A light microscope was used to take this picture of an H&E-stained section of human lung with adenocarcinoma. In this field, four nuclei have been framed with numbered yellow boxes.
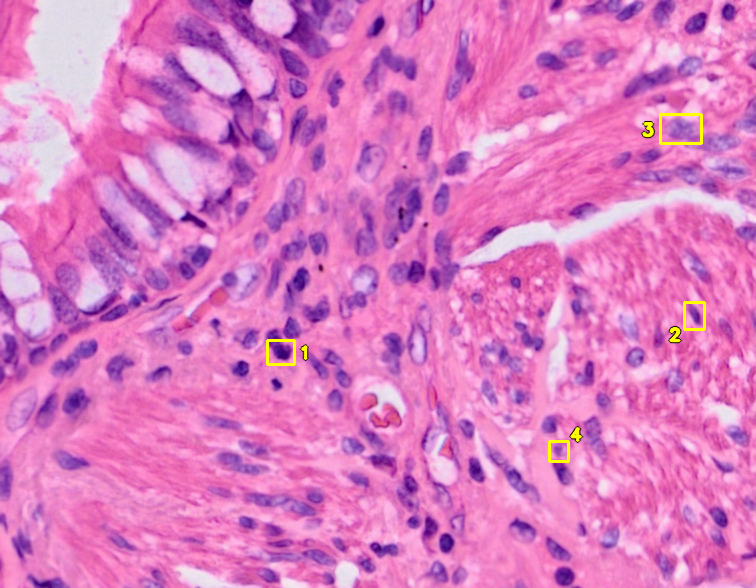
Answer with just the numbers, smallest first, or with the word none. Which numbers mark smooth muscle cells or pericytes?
2, 3, 4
